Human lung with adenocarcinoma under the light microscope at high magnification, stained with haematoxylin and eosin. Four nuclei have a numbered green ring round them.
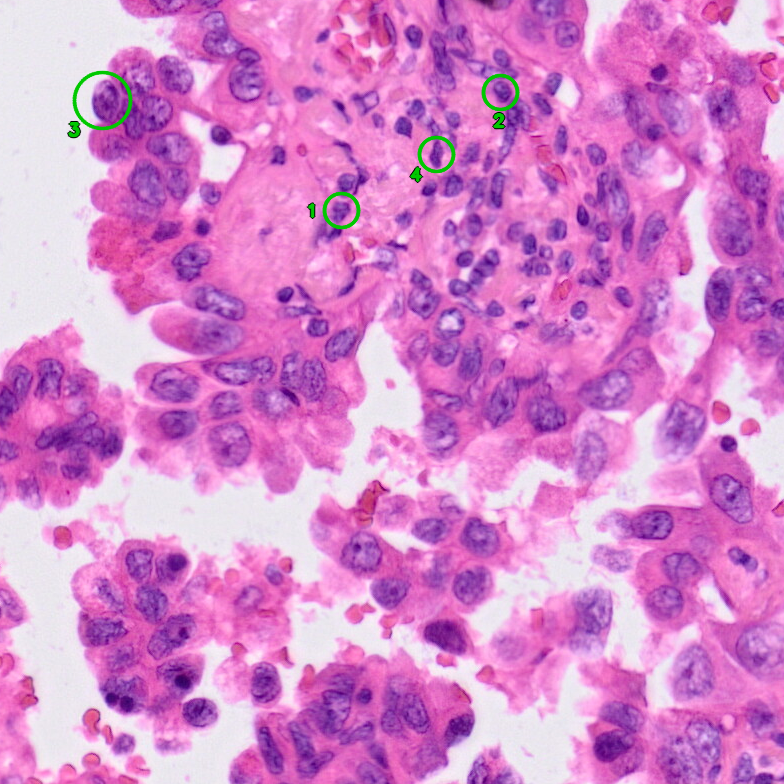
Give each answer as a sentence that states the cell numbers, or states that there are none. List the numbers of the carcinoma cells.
Cell 3 is a carcinoma cell and is the only numbered cell of that kind.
